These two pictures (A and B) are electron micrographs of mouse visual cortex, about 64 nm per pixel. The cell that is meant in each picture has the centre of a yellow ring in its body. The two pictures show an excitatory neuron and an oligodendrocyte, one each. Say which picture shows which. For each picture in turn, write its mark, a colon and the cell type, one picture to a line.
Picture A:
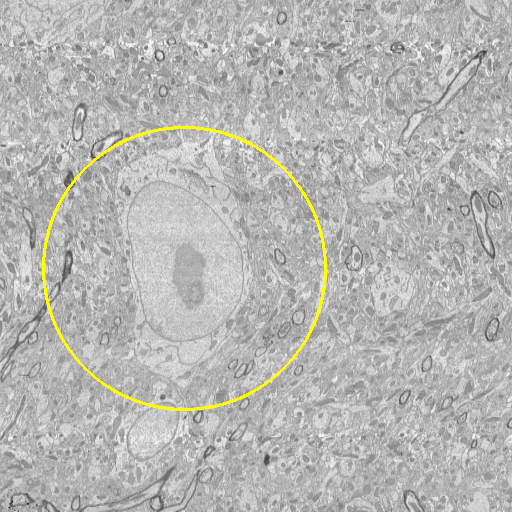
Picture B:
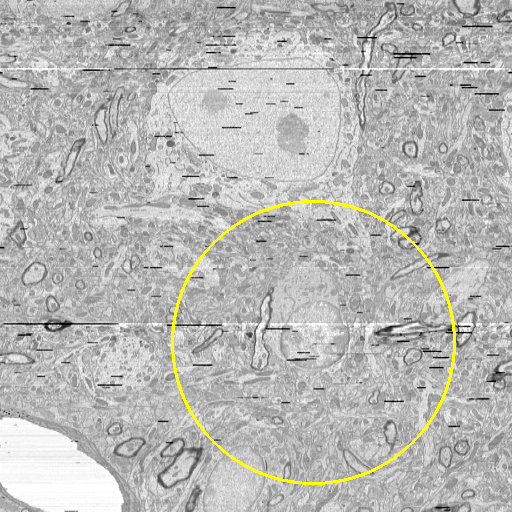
A: excitatory neuron
B: oligodendrocyte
